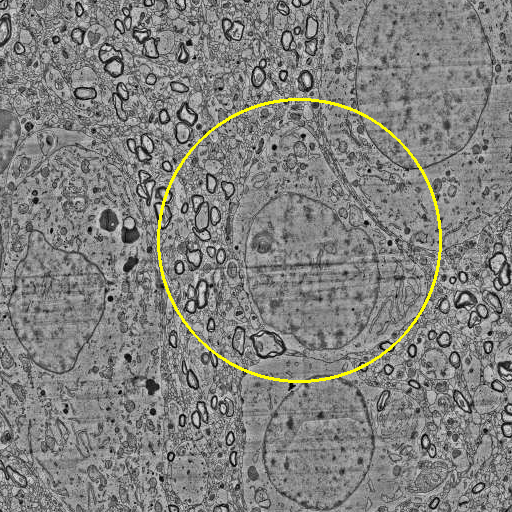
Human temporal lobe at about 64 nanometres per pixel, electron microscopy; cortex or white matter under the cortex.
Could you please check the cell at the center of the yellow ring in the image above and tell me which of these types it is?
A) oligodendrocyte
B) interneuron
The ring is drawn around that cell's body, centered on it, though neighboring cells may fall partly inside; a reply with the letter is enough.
B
